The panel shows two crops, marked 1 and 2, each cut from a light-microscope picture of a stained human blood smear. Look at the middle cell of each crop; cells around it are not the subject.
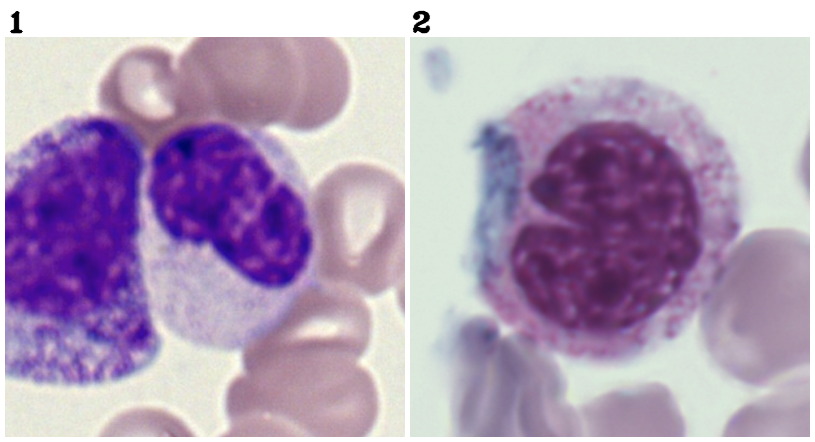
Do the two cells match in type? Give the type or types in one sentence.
Yes, band neutrophils are the central cells in the two crops.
